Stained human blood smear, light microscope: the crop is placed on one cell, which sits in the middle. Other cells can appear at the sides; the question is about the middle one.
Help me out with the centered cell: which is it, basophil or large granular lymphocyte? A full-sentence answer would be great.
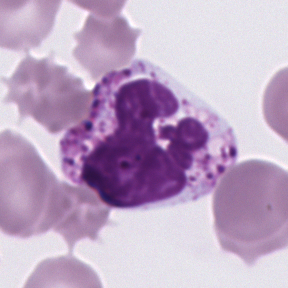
The cell at the centre of the field is a basophil.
